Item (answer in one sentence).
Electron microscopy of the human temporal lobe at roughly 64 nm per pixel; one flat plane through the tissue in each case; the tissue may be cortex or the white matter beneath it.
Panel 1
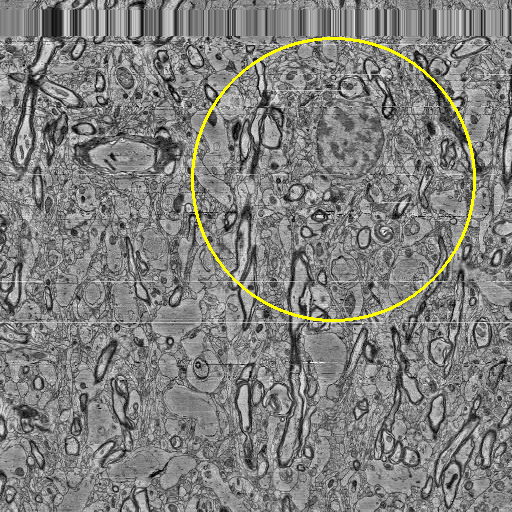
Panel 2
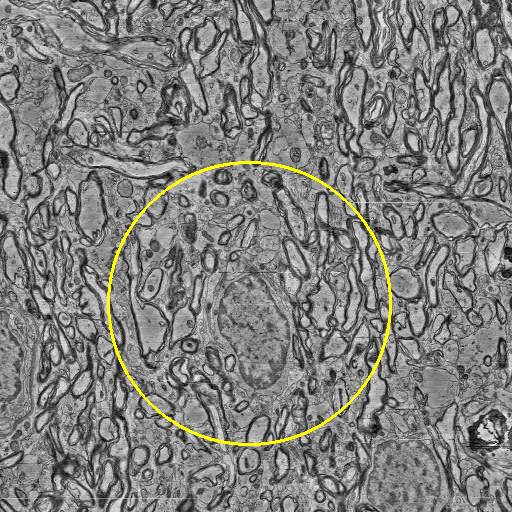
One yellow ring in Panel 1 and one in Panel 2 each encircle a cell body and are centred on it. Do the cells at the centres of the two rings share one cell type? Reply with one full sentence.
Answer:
Yes, Panel 1 and Panel 2 show cells of one type at the centres of their rings.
